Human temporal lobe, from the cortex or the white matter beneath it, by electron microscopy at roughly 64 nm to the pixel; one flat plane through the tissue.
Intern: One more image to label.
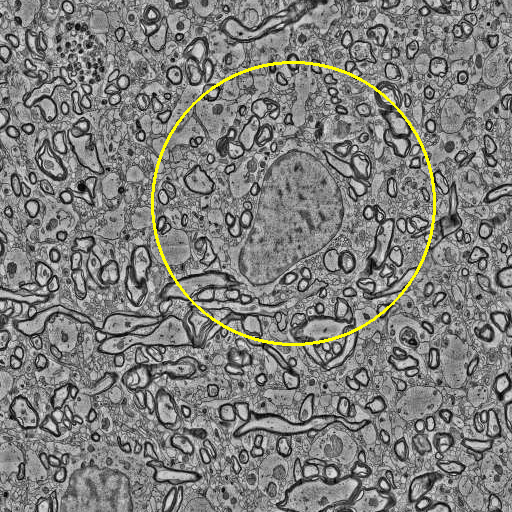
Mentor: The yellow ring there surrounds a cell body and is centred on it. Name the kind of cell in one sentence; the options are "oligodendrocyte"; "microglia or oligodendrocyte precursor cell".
The ring marks the cell body of a microglial cell or oligodendrocyte precursor cell.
